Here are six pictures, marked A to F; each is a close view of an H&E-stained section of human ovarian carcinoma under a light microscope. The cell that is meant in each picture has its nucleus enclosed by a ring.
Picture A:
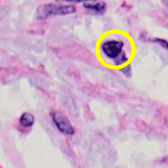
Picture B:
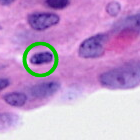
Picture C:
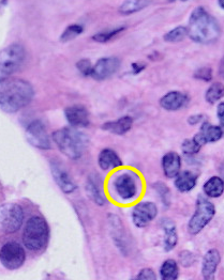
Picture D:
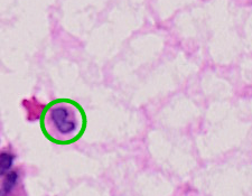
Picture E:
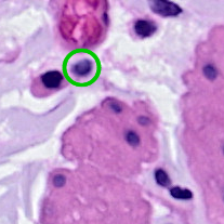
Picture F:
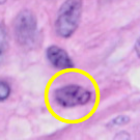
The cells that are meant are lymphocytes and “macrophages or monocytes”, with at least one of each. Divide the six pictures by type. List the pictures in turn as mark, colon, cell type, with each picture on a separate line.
A: lymphocyte
B: lymphocyte
C: lymphocyte
D: macrophage or monocyte
E: lymphocyte
F: macrophage or monocyte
